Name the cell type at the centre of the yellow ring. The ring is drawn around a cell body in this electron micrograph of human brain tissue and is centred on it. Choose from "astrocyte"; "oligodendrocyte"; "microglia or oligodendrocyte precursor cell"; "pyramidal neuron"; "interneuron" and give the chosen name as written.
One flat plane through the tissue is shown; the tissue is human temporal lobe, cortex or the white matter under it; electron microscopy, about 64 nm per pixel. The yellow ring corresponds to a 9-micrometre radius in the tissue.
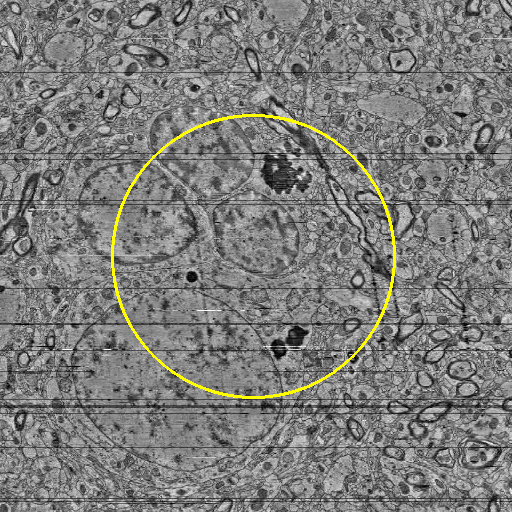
oligodendrocyte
